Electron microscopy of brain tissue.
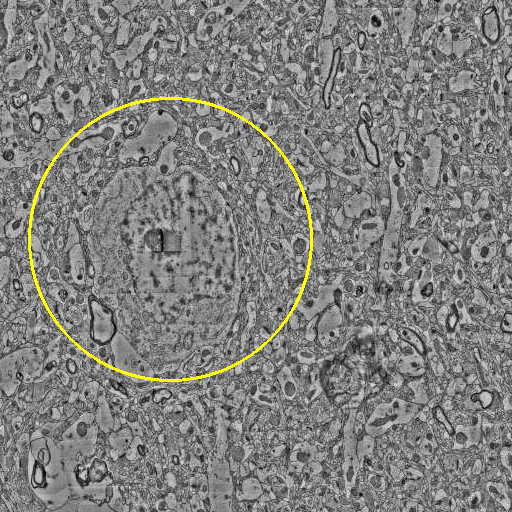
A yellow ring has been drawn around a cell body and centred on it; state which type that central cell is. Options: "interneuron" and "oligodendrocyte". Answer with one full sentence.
The cell at the middle of the yellow ring is an interneuron in this picture.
